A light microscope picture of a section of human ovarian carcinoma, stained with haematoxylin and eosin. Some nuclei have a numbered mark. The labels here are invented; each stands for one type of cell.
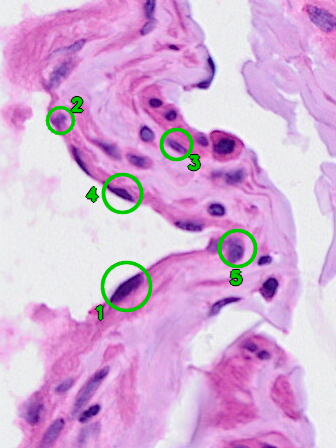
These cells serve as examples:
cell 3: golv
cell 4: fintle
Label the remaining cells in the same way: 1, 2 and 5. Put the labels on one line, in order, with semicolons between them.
fintle; fintle; golv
